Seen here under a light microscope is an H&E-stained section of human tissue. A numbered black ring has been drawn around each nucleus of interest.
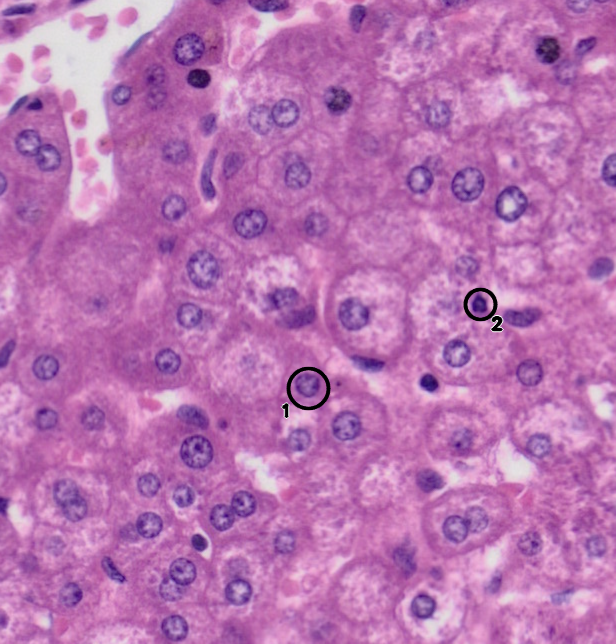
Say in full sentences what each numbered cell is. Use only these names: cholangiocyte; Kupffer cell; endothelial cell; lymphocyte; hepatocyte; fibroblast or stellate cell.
Cell 1 is a hepatocyte. Cell 2 is a fibroblast or stellate cell.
